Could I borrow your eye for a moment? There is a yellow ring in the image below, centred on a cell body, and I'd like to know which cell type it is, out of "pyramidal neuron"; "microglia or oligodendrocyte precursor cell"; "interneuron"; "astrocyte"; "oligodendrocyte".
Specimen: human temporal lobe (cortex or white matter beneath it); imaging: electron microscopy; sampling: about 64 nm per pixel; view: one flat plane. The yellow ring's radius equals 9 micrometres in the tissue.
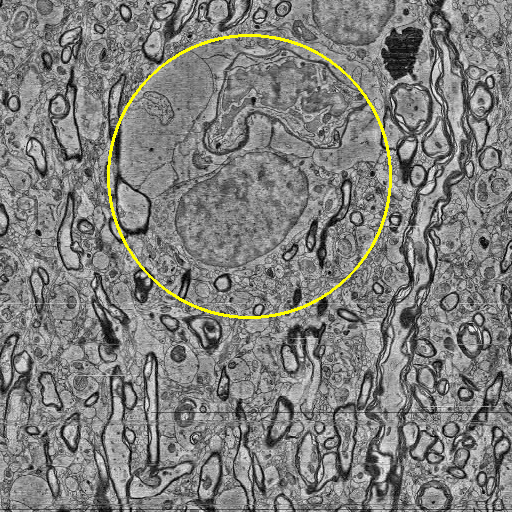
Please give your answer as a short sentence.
The cell body at the centre is that of an oligodendrocyte.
